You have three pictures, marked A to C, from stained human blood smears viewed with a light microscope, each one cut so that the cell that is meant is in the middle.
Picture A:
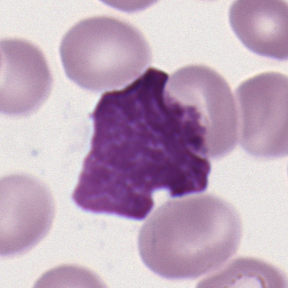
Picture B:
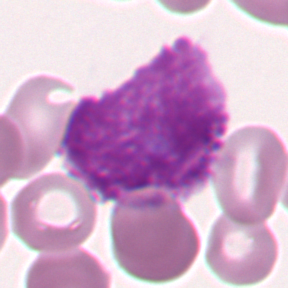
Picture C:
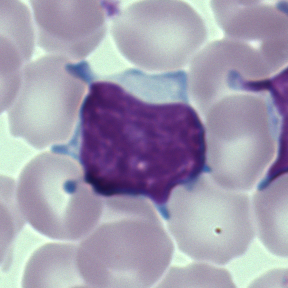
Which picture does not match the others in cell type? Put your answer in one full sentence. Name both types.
Picture C differs, because its cell is a typical lymphocyte and the rest are smudge cells.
